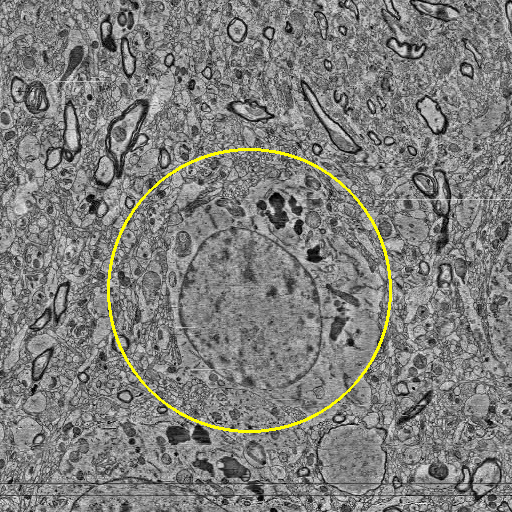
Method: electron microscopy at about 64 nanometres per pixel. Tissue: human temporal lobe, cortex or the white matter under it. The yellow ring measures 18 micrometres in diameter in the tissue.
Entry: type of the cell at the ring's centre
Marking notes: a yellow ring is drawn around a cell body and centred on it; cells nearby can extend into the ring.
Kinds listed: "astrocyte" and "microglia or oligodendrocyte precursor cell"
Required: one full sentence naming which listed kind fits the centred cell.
My entry names an astrocyte as the cell whose body the yellow ring centres on.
